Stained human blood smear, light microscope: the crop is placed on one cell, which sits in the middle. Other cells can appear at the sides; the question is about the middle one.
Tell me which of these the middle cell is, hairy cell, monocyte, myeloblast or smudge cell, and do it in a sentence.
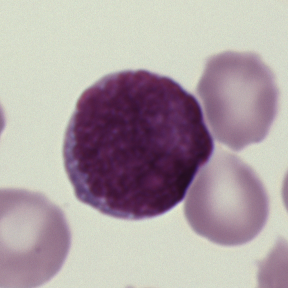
The cell in the middle of this crop is a myeloblast.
